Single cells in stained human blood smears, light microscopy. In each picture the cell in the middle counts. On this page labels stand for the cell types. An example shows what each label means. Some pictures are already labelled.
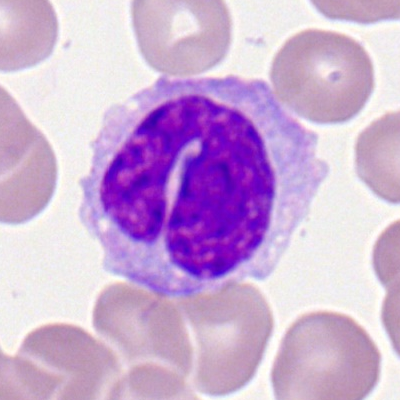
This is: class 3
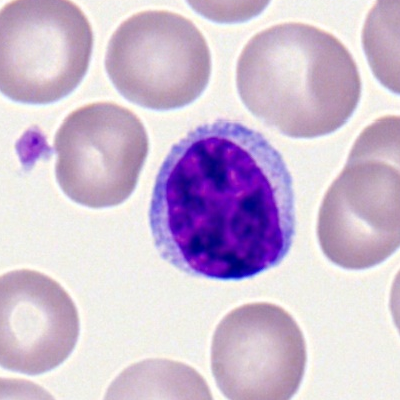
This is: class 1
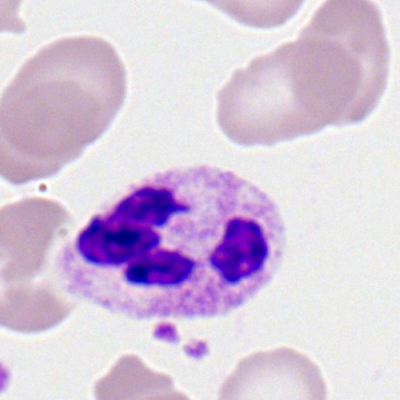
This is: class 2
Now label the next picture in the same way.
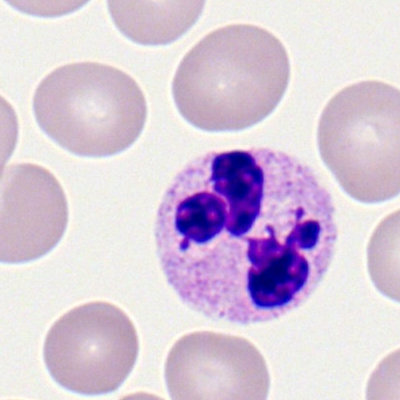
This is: class 2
